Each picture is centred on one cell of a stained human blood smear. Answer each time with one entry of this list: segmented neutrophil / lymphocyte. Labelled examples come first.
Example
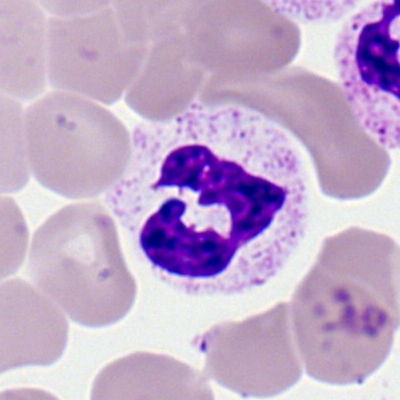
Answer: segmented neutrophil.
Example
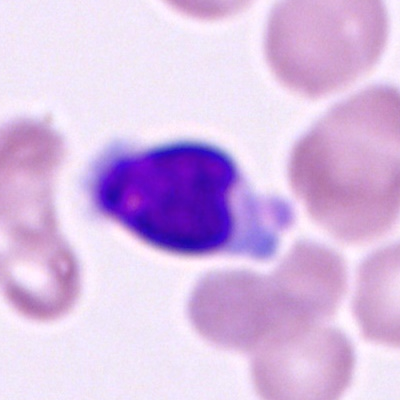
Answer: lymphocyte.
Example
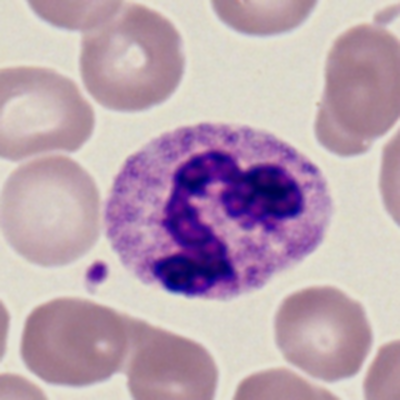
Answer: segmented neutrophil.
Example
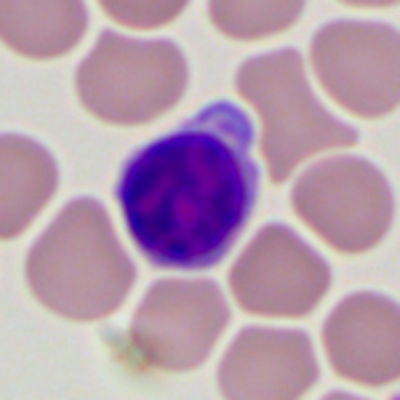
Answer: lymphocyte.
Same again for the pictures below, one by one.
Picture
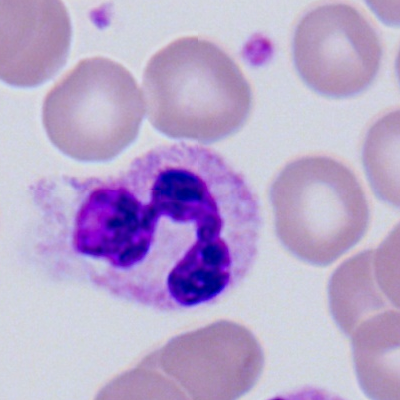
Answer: segmented neutrophil.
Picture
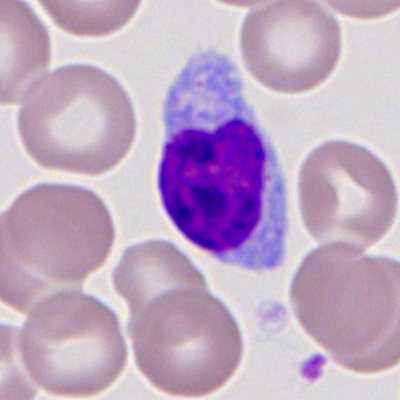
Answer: lymphocyte.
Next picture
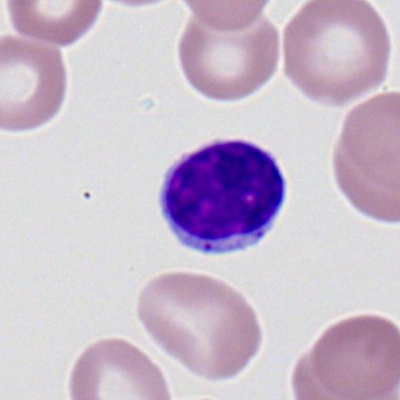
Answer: lymphocyte.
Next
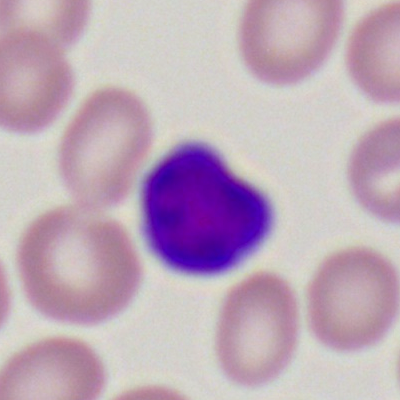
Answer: lymphocyte.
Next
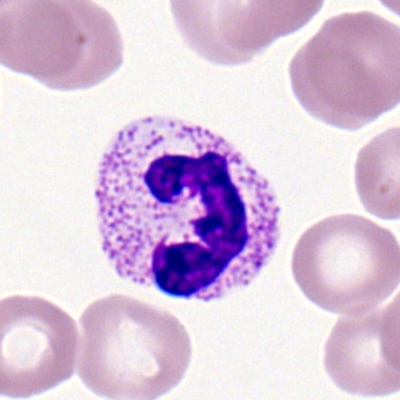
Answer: segmented neutrophil.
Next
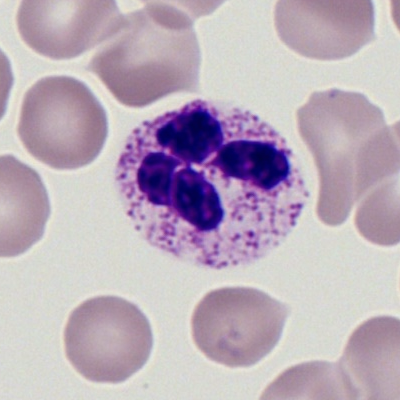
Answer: segmented neutrophil.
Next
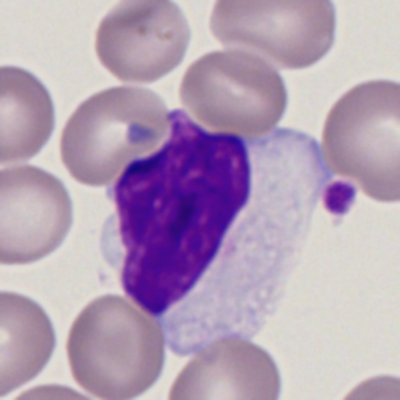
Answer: lymphocyte.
